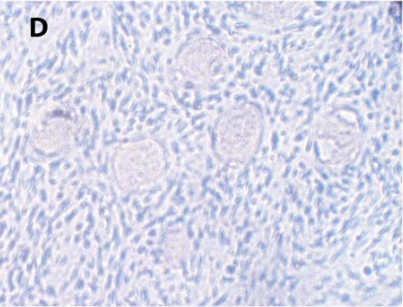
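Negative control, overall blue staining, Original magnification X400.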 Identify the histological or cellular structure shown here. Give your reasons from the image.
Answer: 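Primordial follicles. Several small round structures lie in a row among spindle-shaped stromal cells. Each holds one pale round oocyte. No thick layer of cells surrounds them.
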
